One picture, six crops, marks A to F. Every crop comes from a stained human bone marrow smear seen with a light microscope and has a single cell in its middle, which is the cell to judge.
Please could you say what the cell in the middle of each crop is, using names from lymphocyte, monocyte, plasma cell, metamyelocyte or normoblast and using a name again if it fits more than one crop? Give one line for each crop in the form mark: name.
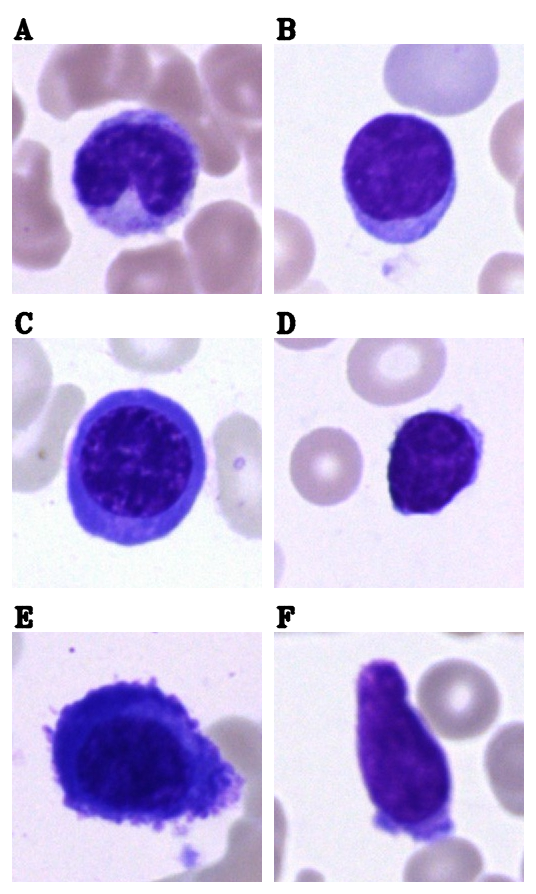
A: metamyelocyte
B: lymphocyte
C: normoblast
D: lymphocyte
E: plasma cell
F: lymphocyte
